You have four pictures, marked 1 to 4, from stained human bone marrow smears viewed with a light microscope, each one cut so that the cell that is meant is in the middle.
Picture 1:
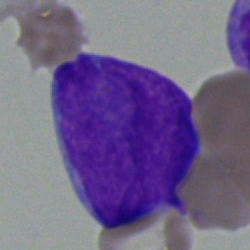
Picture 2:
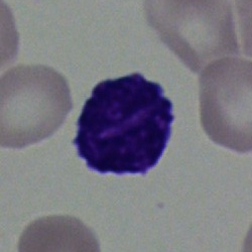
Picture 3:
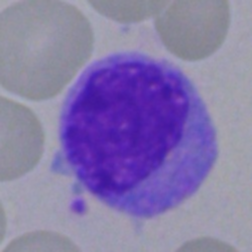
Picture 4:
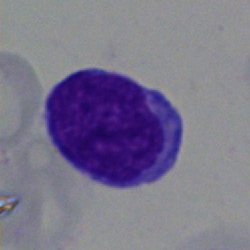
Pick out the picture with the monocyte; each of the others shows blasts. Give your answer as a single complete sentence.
The monocyte is the one in picture 3.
